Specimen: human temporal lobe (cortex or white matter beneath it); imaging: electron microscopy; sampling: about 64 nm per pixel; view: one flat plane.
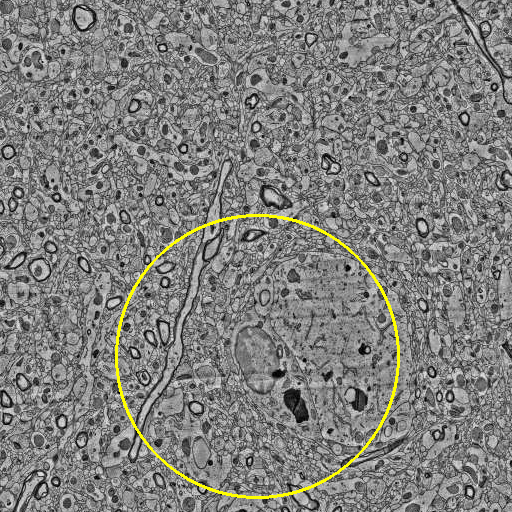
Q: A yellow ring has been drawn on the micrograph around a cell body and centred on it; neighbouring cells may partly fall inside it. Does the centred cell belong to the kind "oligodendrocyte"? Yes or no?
Yes, it belongs to that kind.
